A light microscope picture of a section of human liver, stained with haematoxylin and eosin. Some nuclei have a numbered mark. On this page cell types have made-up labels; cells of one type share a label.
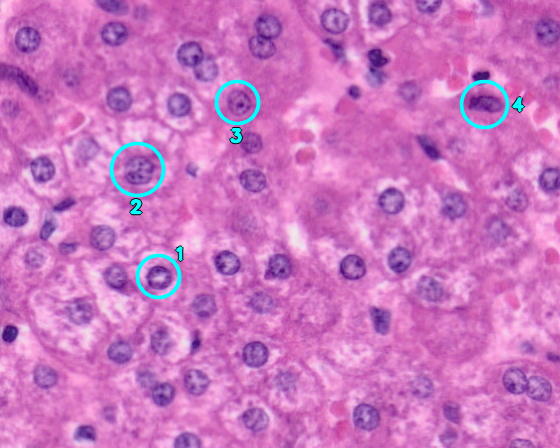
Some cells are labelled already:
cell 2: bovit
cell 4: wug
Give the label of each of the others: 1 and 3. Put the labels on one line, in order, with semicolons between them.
bovit; bovit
